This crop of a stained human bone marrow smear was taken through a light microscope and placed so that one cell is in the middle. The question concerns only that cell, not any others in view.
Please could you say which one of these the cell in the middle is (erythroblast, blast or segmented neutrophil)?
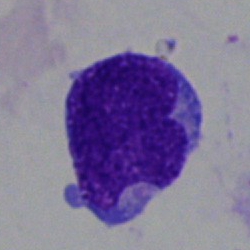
blast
